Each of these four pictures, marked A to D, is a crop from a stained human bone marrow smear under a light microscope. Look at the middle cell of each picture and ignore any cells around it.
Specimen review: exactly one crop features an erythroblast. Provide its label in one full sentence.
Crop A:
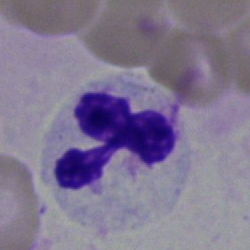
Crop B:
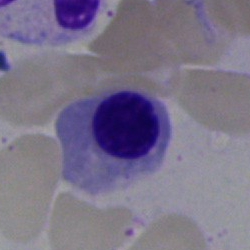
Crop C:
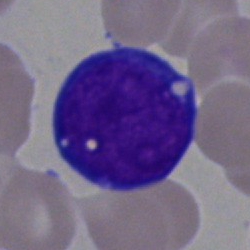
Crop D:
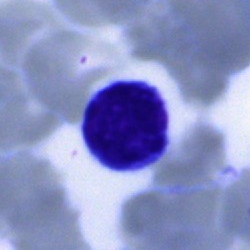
The crop that shows an erythroblast is crop B.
